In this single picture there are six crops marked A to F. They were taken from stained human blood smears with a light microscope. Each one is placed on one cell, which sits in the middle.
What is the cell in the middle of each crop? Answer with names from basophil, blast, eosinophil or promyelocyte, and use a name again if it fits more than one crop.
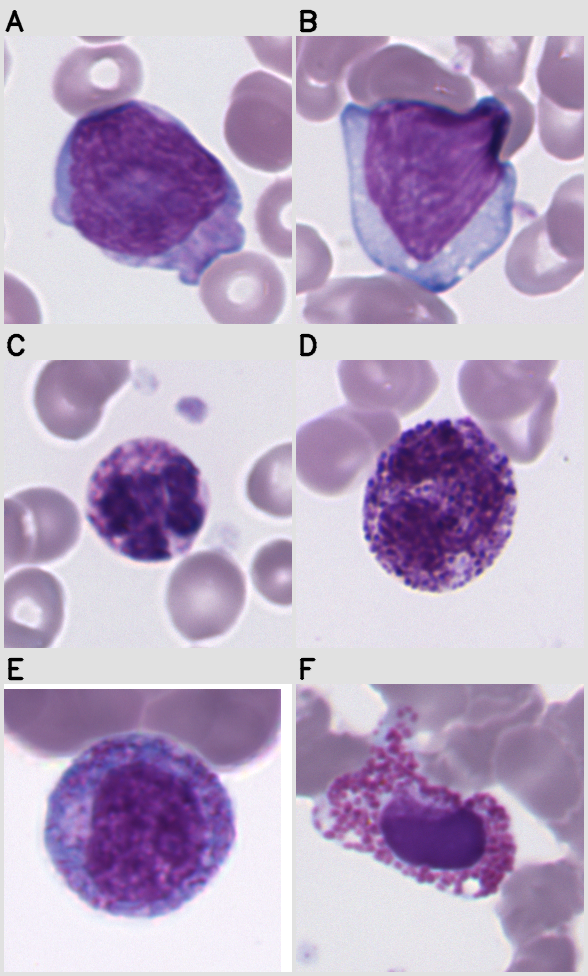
A: promyelocyte
B: blast
C: basophil
D: basophil
E: promyelocyte
F: eosinophil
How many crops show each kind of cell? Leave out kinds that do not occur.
promyelocyte: 2
basophil: 2
blast: 1
eosinophil: 1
